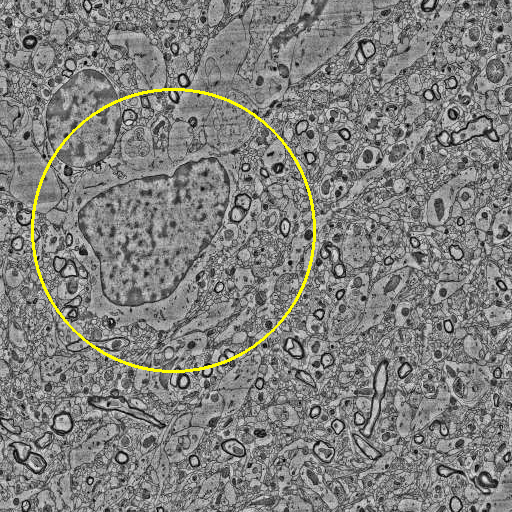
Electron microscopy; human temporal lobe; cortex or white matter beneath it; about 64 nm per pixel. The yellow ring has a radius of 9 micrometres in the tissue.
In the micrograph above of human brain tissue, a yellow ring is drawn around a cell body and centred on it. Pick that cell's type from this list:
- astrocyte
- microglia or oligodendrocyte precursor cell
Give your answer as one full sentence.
Going by the list, a microglial cell or oligodendrocyte precursor cell is the cell on which the yellow ring is centred.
